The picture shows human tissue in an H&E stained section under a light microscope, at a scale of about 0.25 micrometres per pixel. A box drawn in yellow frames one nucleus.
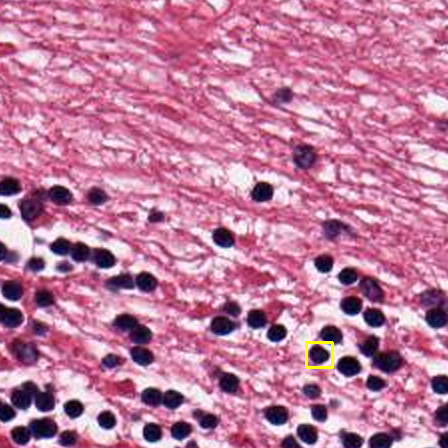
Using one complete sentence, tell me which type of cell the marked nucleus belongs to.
As shown here, the nucleus that is marked is that of a cerebellar granule cell.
